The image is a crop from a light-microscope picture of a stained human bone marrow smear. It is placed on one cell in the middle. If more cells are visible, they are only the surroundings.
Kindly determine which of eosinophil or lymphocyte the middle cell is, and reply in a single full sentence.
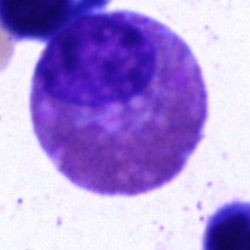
Where the crop is centred, there is an eosinophil.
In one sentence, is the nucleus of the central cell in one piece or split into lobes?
Have a look at the nucleus, which is one compact mass, round, oval or kidney-shaped.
